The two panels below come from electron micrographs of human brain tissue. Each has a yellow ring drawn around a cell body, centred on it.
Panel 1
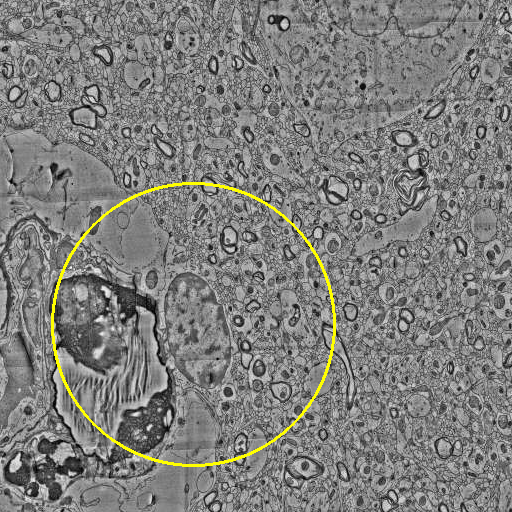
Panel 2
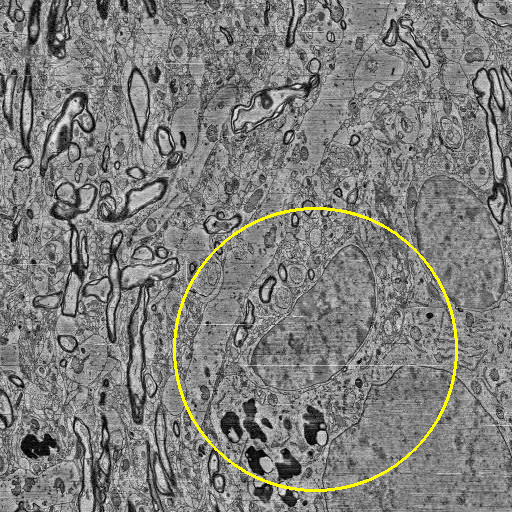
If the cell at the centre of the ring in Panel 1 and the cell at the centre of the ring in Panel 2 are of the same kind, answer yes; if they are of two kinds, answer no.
yes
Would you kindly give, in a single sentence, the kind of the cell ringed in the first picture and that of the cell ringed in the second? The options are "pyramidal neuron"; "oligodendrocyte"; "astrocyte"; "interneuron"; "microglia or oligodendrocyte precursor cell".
In both pictures the ring is centred on a microglial cell or oligodendrocyte precursor cell.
